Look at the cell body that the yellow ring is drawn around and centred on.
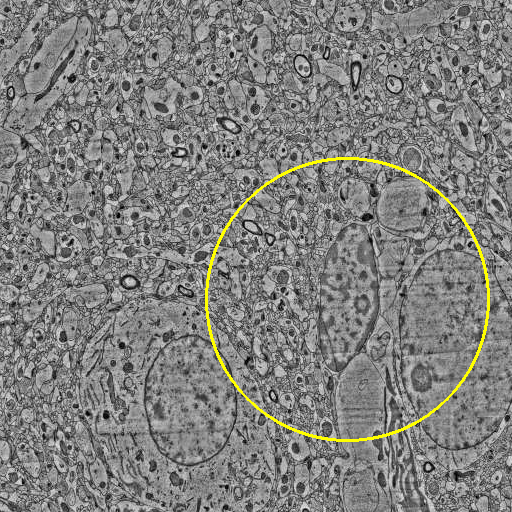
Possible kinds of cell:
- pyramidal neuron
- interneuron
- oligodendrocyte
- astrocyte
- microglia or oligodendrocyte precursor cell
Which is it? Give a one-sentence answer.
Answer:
The centred cell body is that of a microglial cell or oligodendrocyte precursor cell.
